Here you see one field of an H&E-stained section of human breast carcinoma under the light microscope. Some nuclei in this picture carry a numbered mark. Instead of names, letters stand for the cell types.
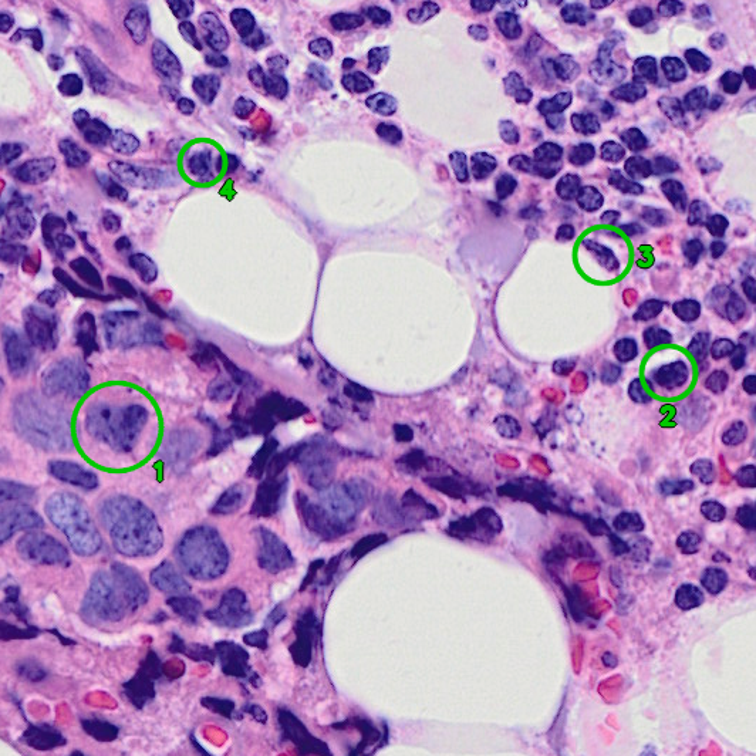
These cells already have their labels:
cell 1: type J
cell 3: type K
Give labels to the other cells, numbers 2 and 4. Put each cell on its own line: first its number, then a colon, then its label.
2: type K
4: type K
